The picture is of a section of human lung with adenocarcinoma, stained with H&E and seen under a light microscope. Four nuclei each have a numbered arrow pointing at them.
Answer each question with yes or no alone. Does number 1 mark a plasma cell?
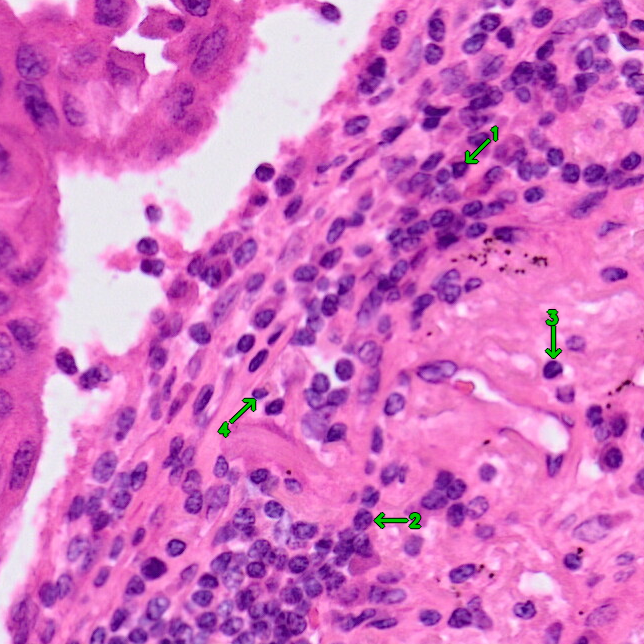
yes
